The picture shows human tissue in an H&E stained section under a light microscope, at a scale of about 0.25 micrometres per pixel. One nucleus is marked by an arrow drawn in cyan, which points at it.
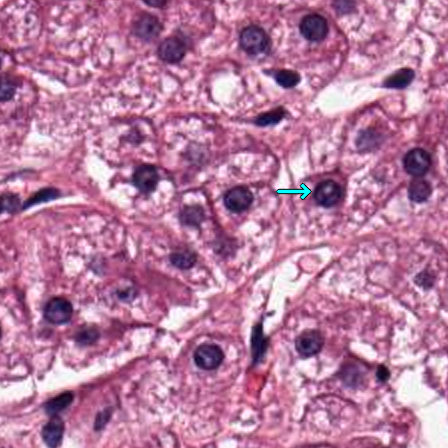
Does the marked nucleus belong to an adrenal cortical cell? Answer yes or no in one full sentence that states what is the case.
Yes, the marked nucleus is identified as that of an adrenal cortical cell.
